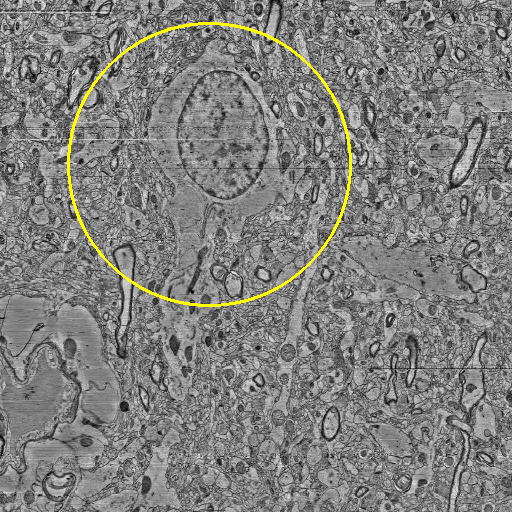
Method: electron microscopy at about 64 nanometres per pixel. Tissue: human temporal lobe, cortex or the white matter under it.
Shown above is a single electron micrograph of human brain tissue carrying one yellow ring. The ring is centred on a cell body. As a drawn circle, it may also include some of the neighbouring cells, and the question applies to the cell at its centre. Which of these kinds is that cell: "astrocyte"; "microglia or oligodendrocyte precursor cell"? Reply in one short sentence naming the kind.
The cell marked by the ring is an astrocyte.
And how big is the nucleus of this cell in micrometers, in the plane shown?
The nucleus measures about 8 by 6 micrometres in this plane.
